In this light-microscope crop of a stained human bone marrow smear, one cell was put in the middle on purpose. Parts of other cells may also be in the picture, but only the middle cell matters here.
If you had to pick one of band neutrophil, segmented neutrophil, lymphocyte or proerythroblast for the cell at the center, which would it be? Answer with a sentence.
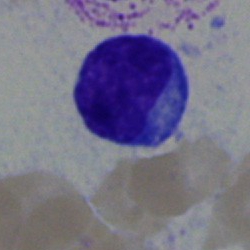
In the crop, the cell of interest at the centre is a lymphocyte.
